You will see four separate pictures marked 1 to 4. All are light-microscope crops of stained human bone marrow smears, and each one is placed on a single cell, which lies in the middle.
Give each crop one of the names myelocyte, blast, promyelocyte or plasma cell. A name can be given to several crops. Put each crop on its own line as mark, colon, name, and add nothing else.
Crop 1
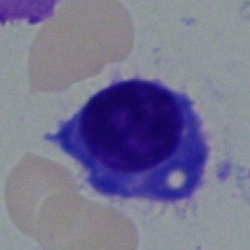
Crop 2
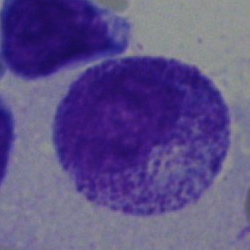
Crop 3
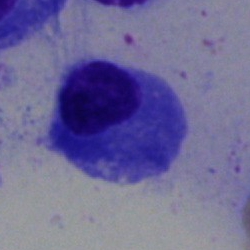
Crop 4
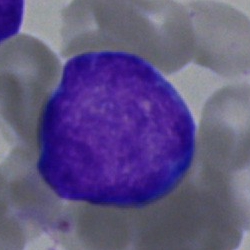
1: plasma cell
2: myelocyte
3: plasma cell
4: blast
